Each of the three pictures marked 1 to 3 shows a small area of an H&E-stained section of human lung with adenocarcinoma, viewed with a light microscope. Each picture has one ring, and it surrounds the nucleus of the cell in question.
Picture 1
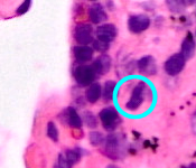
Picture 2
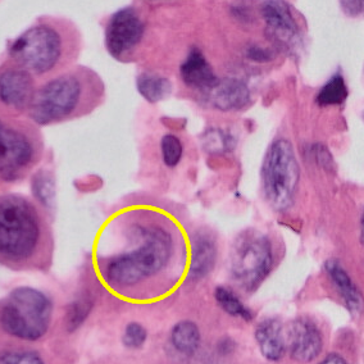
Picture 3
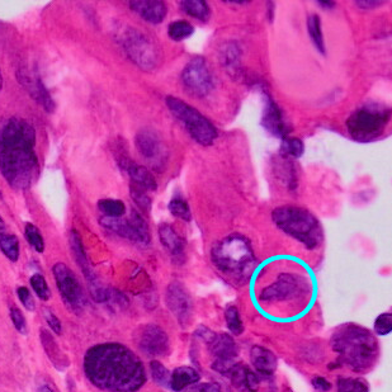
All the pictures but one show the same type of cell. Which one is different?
1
